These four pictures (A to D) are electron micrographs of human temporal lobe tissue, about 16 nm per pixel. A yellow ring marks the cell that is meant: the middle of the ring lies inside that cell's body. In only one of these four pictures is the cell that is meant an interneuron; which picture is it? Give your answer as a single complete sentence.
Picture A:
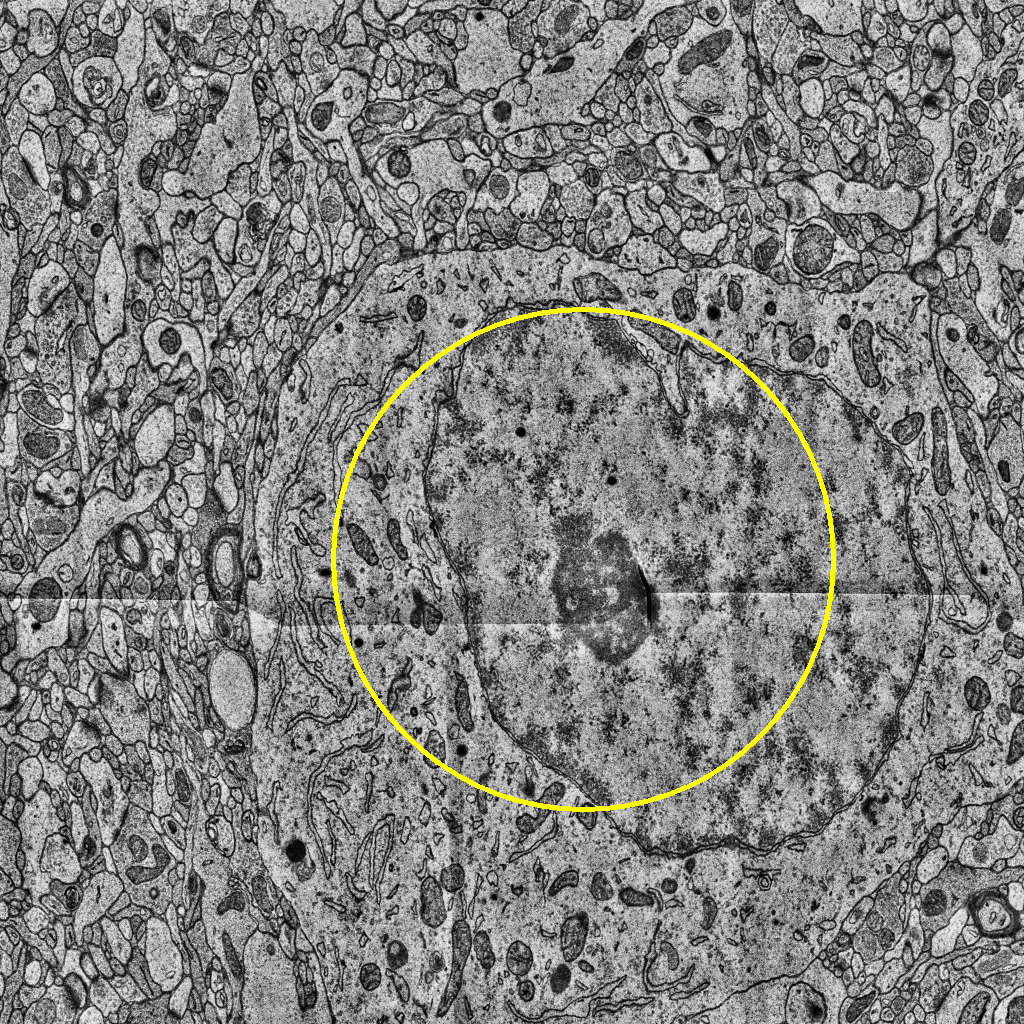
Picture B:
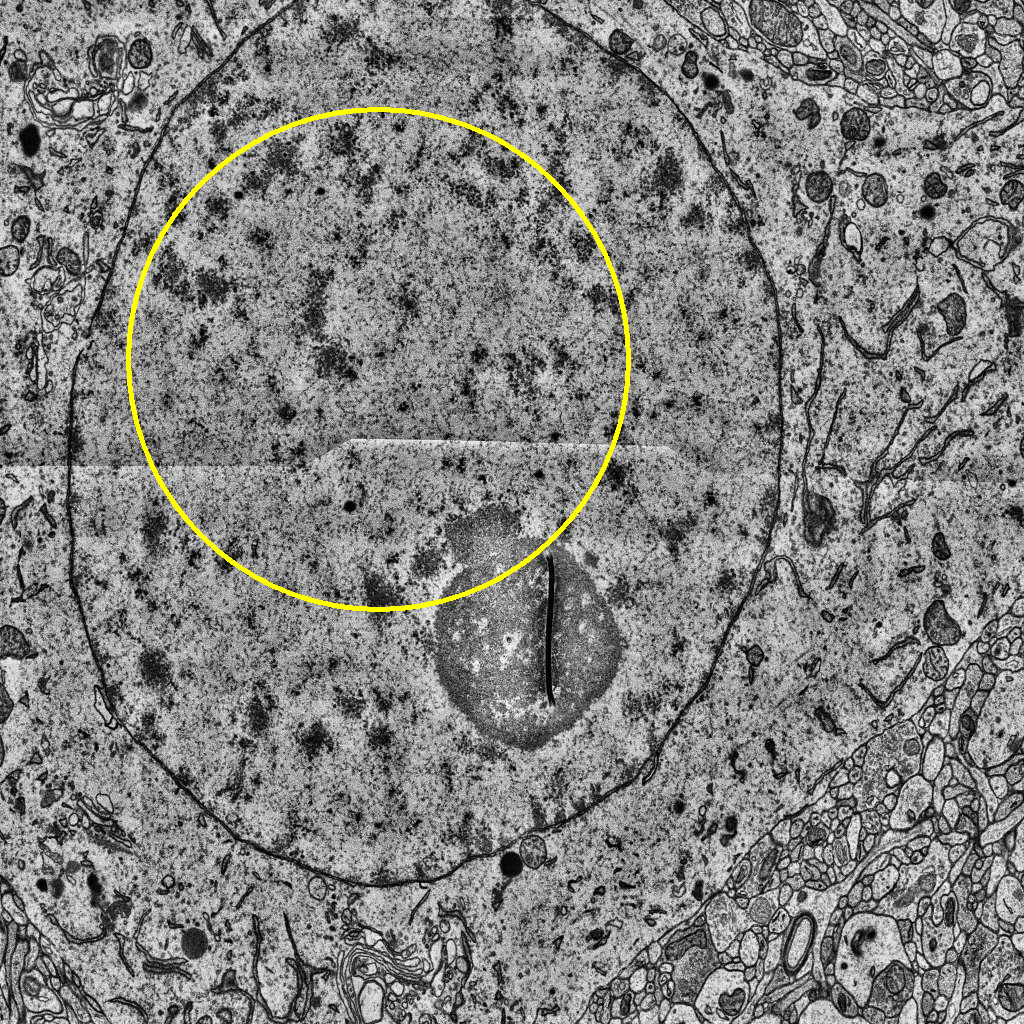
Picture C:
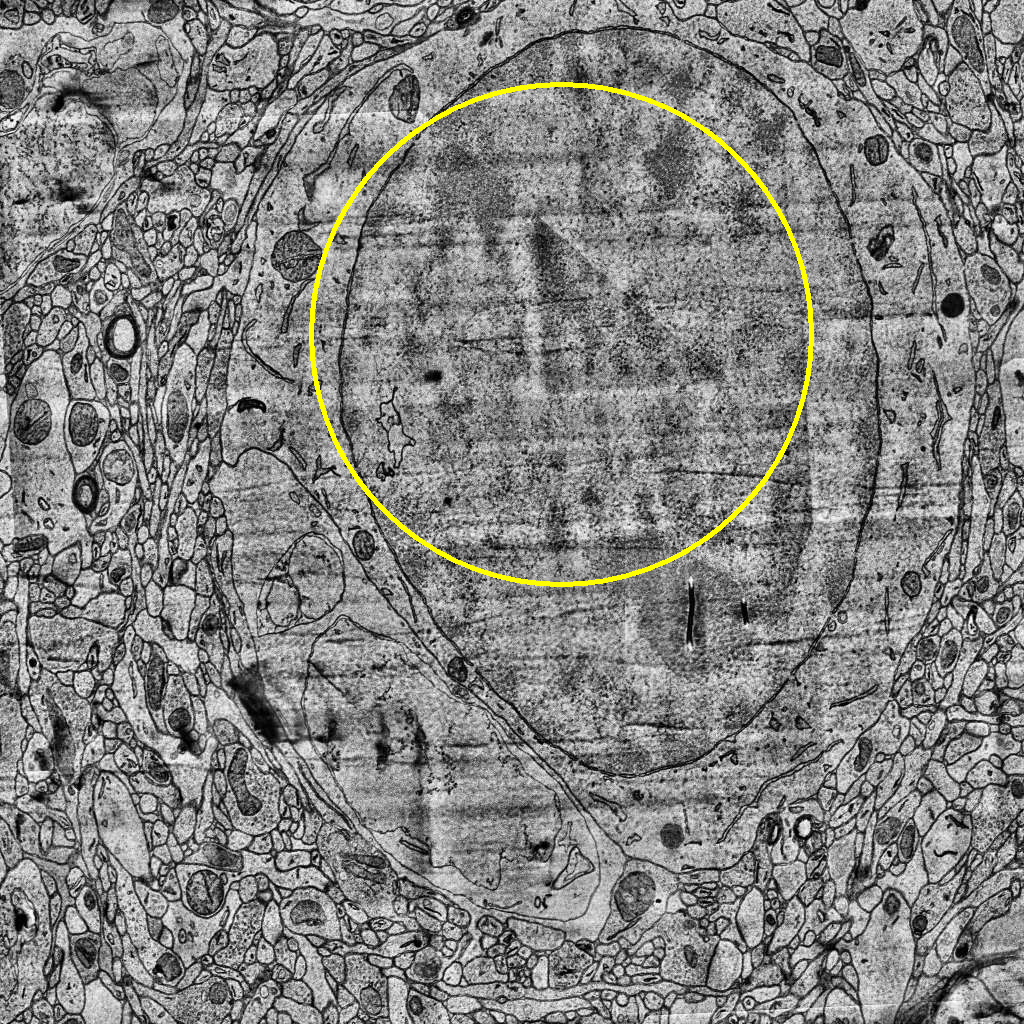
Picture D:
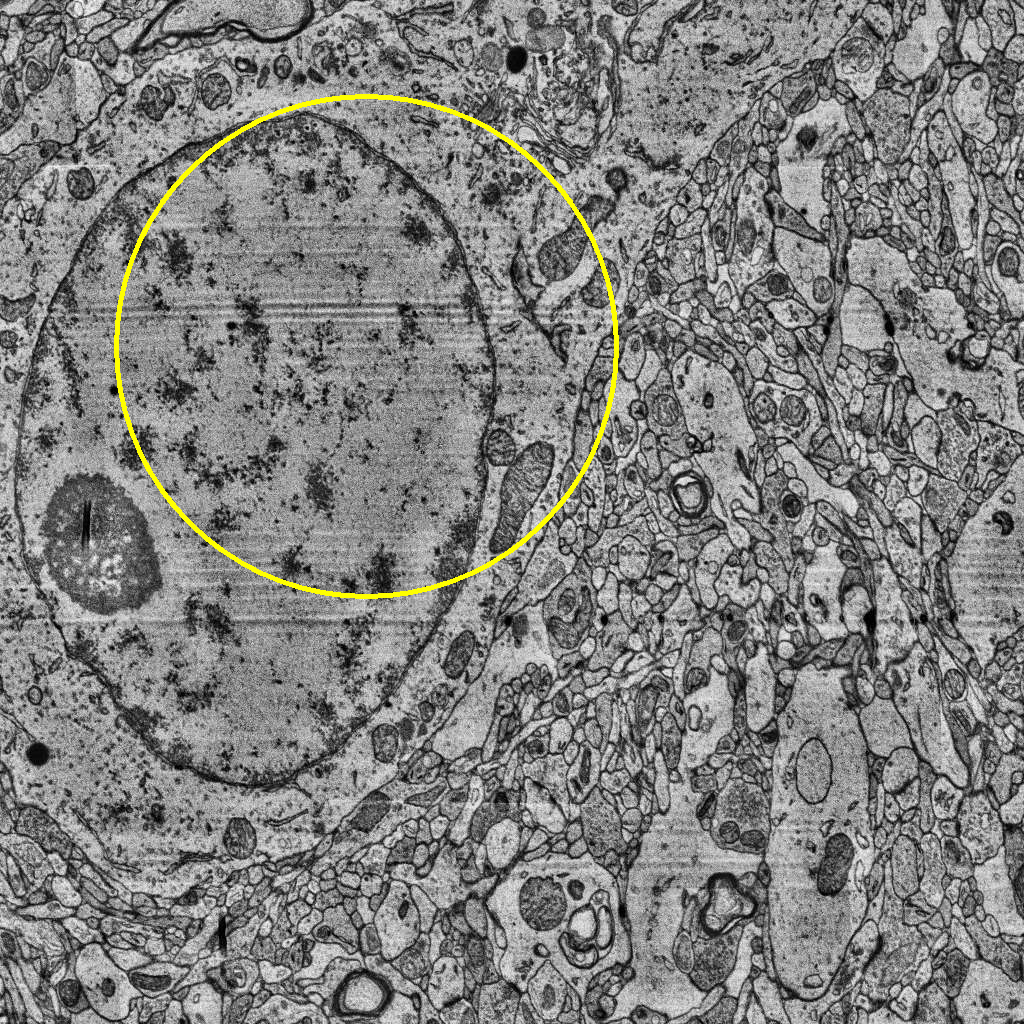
The interneuron is the one in picture A.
